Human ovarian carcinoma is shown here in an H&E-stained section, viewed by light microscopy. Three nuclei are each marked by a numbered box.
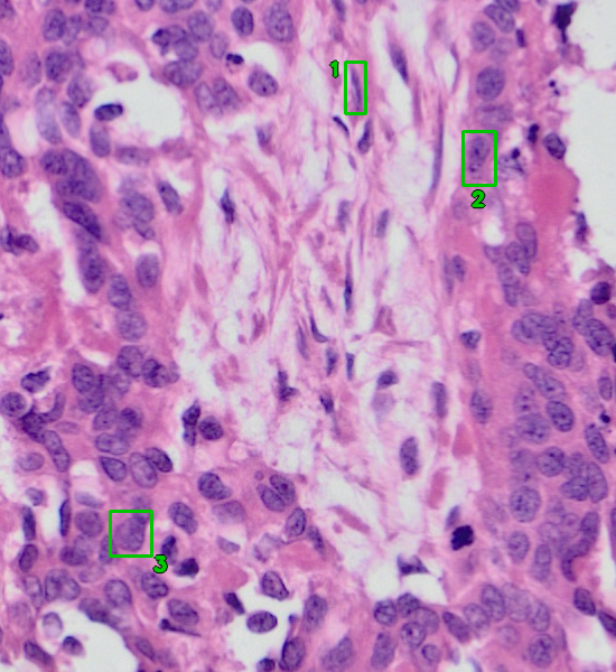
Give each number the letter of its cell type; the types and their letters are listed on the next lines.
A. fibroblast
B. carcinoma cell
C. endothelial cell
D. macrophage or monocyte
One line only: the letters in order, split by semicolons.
A; B; B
